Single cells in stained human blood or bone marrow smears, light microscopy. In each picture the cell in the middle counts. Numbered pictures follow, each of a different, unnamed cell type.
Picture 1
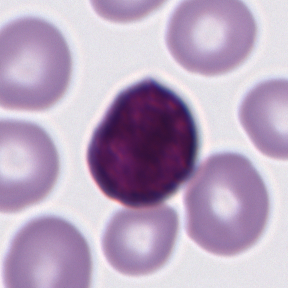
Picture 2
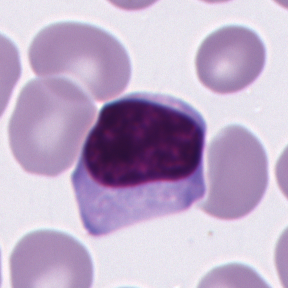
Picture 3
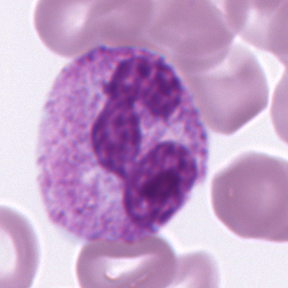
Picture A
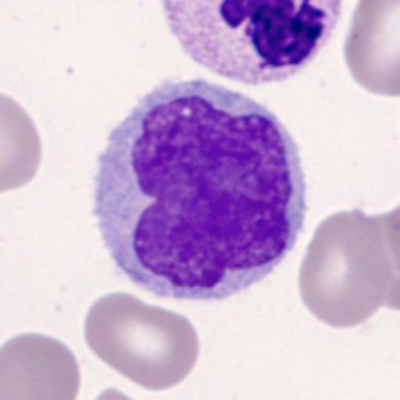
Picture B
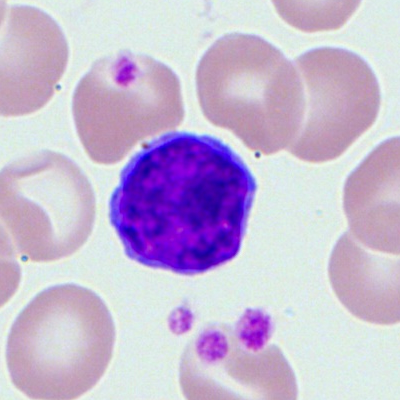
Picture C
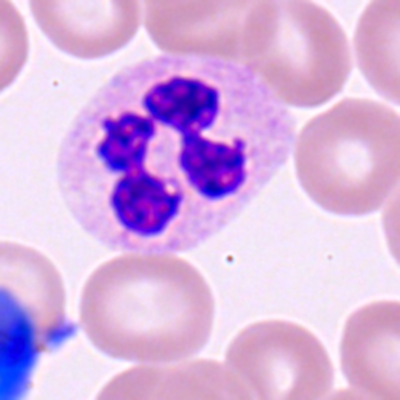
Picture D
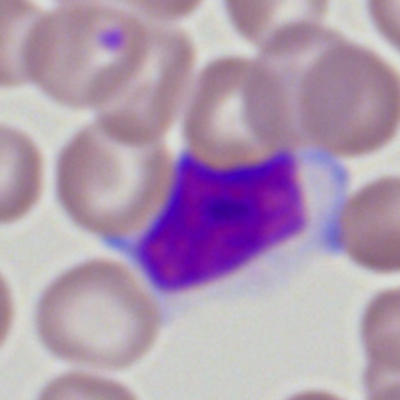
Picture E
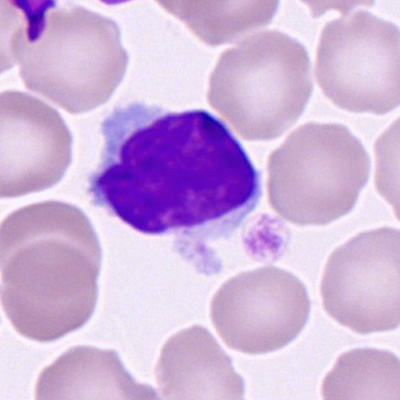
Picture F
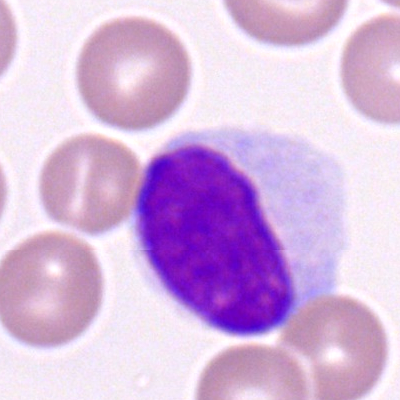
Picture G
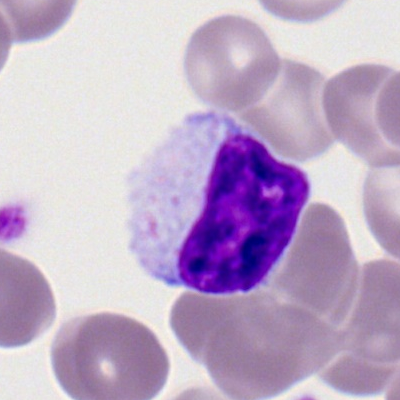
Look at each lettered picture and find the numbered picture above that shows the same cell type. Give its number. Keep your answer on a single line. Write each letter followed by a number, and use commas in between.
A 1, B 2, C 3, D 2, E 2, F 2, G 2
